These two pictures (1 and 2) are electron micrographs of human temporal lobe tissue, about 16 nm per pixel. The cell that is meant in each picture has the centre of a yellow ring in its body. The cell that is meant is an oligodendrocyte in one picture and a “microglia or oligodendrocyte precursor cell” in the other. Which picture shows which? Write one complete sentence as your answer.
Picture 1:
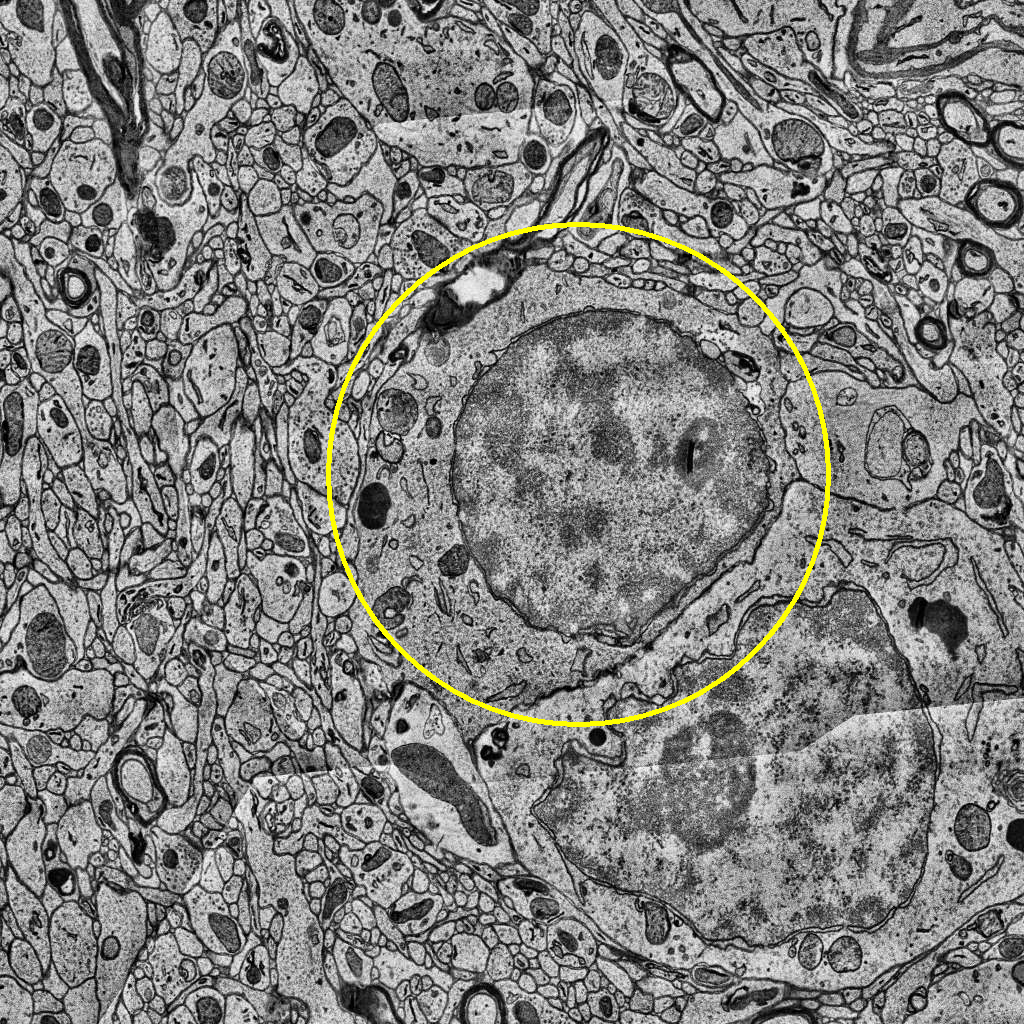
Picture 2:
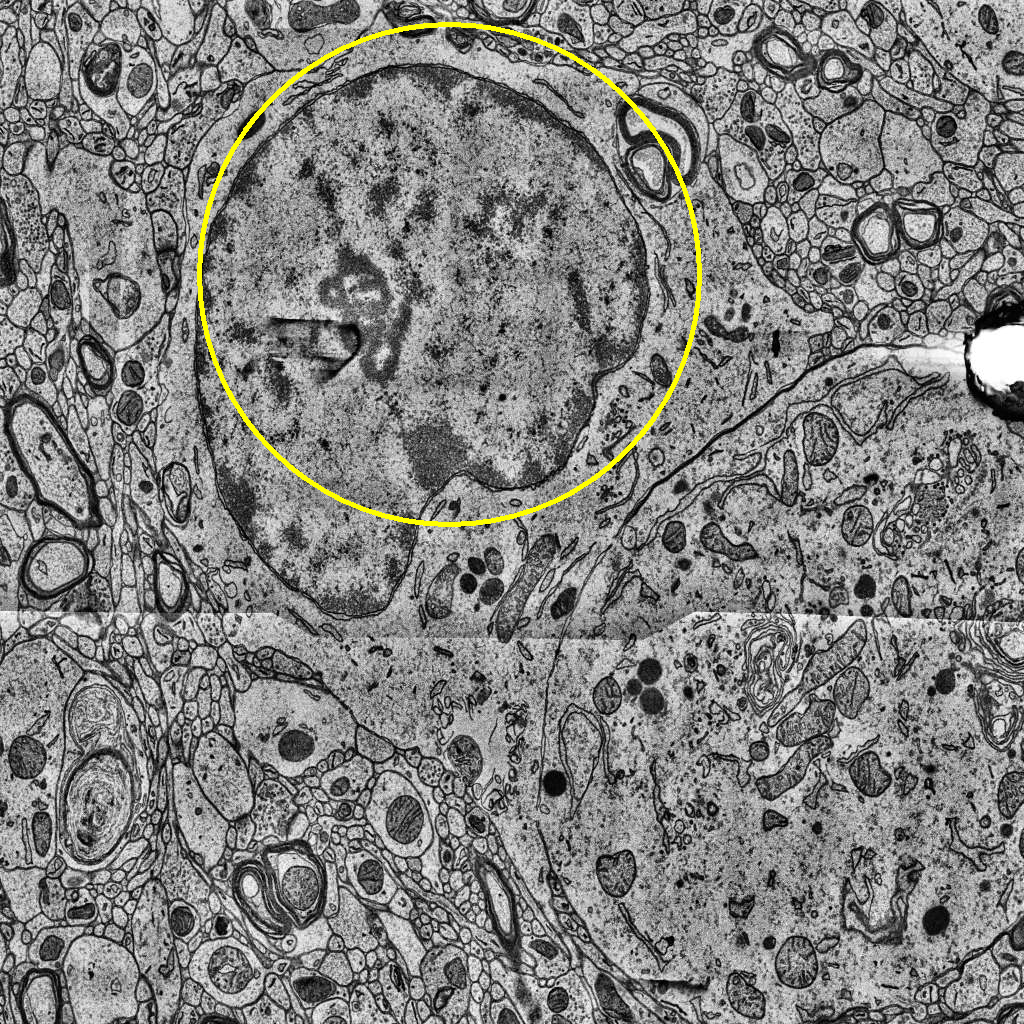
Picture 1 is of an oligodendrocyte, and picture 2 is of a “microglia or oligodendrocyte precursor cell”.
